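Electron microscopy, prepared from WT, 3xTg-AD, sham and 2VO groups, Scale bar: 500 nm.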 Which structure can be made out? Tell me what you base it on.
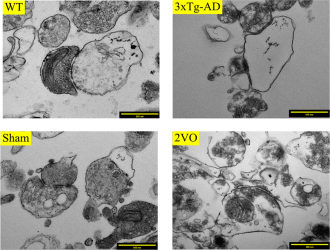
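Round and oval membrane-bound profiles lie scattered with no surrounding tissue. Several profiles enclose mitochondria with visible cristae. Some profiles contain small round vesicles. On this evidence: synaptosomes.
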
